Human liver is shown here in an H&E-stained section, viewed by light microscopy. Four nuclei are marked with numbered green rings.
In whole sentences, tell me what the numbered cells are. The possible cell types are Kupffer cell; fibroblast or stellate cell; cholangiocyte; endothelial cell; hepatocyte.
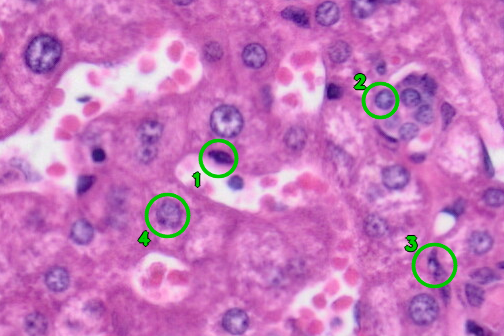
Cells 1 and 3 are fibroblasts or stellate cells. Cell 2 is a cholangiocyte. Cell 4 is a hepatocyte.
